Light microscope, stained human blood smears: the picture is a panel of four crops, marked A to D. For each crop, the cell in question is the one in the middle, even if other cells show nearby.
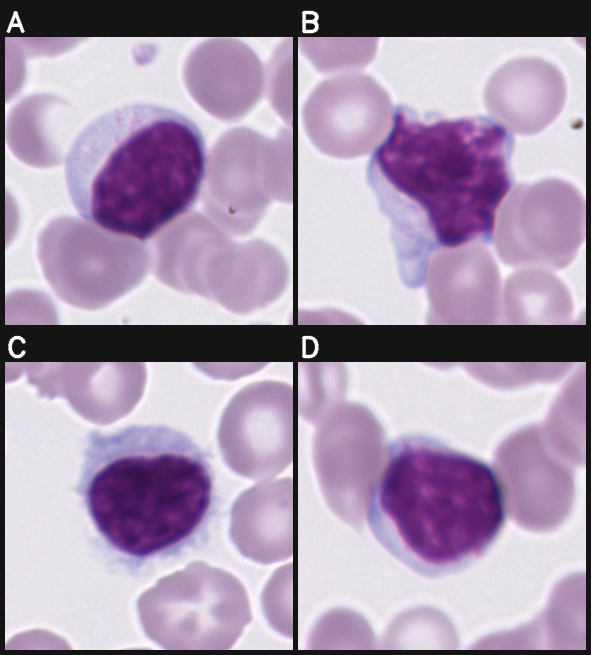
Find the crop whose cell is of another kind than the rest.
C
